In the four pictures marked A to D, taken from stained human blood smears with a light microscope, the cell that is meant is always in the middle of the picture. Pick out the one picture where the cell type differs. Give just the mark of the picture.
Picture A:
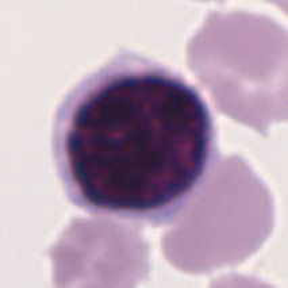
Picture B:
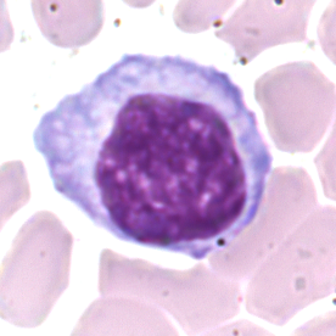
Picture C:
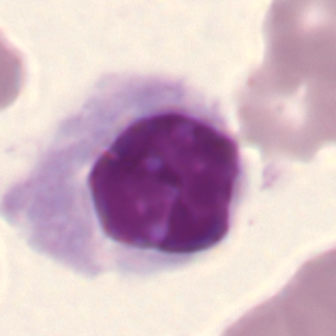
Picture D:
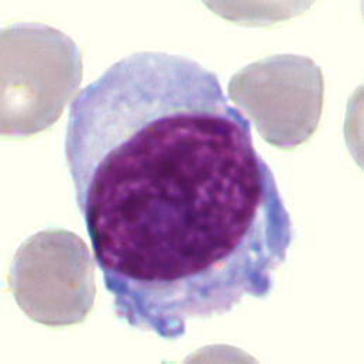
A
